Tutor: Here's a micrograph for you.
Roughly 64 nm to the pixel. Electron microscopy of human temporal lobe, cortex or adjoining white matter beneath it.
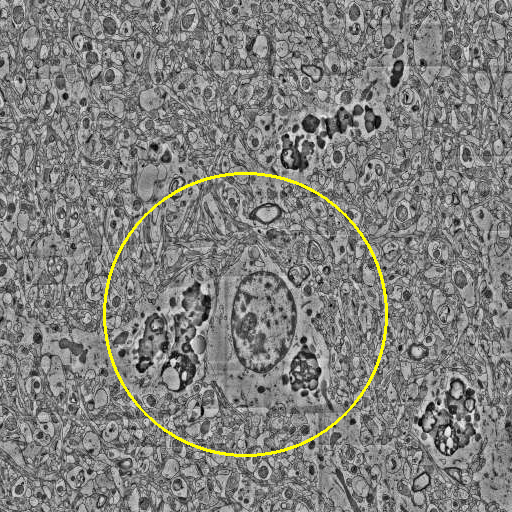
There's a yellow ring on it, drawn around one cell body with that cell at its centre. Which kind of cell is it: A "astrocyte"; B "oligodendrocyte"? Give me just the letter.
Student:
A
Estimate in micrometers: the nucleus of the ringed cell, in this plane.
Roughly 6 by 4 micrometers, clearly longer than it is wide in this plane.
